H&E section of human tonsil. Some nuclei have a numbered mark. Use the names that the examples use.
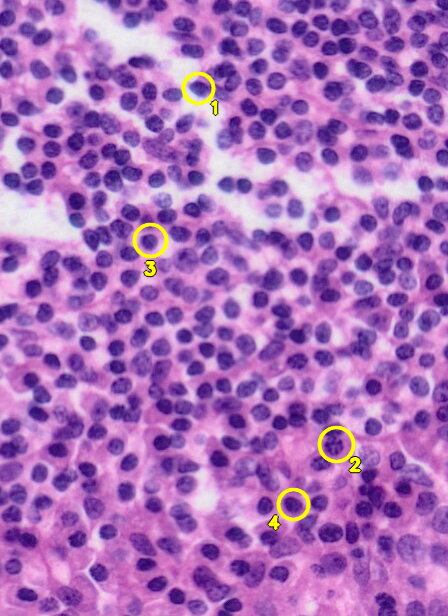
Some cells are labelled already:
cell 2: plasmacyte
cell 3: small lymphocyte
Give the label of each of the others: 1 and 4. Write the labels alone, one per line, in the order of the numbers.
small lymphocyte
plasmacyte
